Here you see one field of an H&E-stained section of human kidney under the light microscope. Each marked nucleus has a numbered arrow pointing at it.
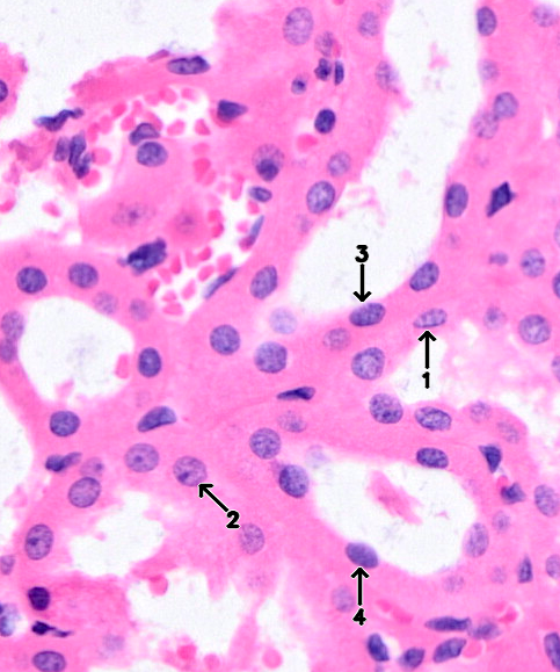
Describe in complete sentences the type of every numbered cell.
Cells 1, 3 and 4 are loop of Henle or distal tubule cells. Cell 2 is a proximal tubule cell.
